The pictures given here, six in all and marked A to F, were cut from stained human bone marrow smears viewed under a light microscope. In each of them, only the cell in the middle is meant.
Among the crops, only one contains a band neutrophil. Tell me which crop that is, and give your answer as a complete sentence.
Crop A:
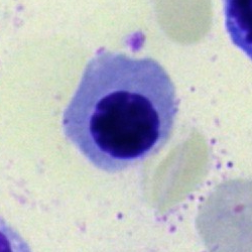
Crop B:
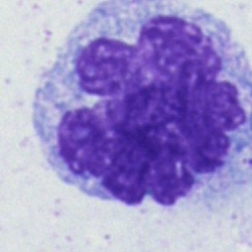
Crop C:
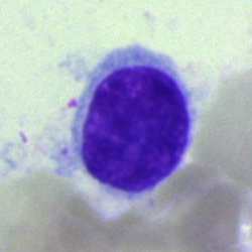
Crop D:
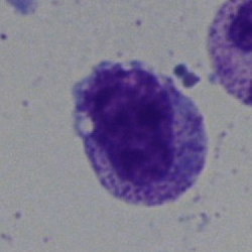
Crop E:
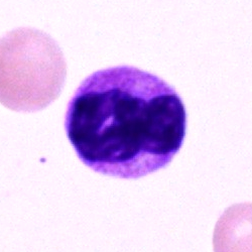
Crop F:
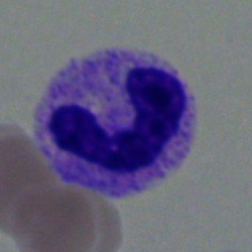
Among the crops given, only crop F shows a band neutrophil.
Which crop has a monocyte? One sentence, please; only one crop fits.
Identified crop: B, the one that shows a monocyte.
